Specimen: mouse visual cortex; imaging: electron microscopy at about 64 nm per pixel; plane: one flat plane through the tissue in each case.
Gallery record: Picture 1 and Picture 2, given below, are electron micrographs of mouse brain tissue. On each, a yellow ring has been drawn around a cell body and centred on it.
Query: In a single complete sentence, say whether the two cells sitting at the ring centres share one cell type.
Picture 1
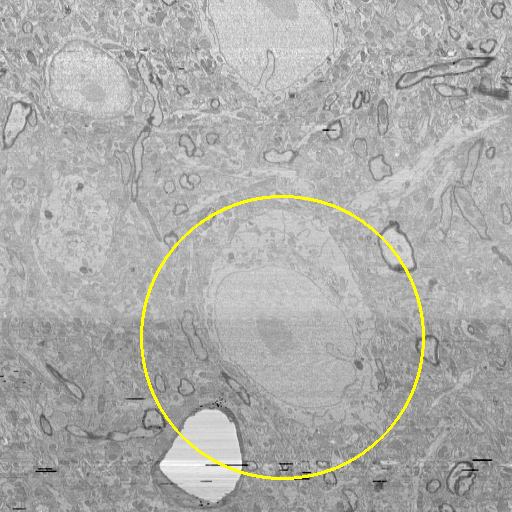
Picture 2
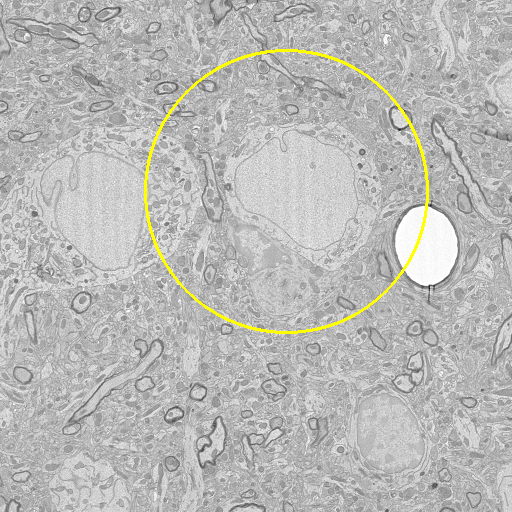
Yes, in both pictures the cell at the ring's centre is of one and the same type.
